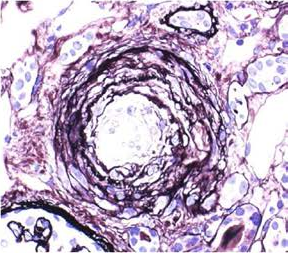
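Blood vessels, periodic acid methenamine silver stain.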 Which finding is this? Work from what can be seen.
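Marked intimal thickening with concentric fibrosis. A vessel wall made of many concentric black-stained layers.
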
